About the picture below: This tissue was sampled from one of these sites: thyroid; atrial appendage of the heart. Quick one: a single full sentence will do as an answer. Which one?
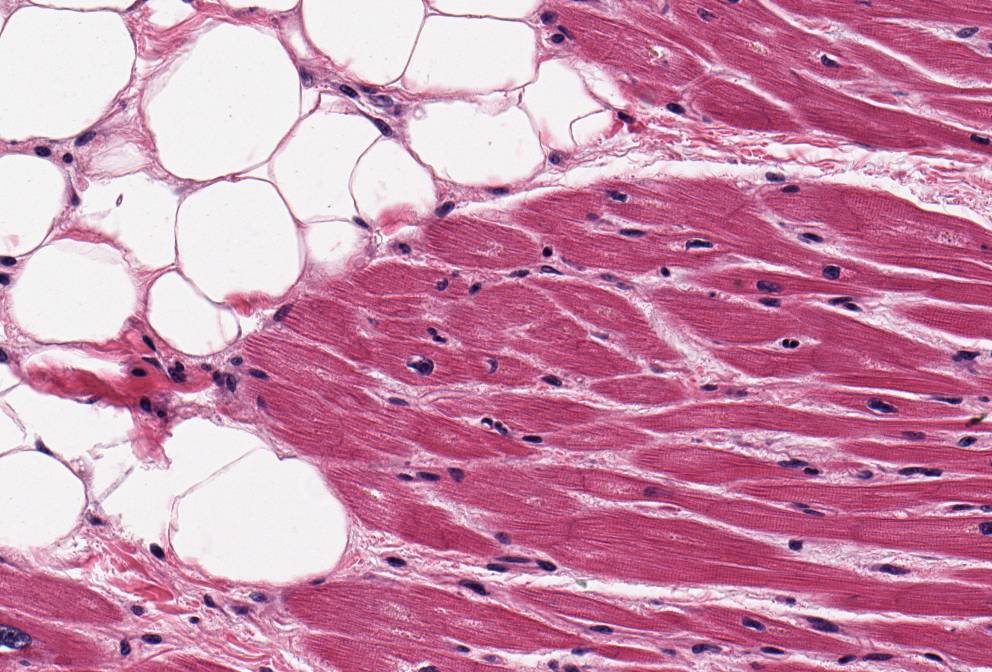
Sampling of this tissue was done from the atrial appendage of the heart.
